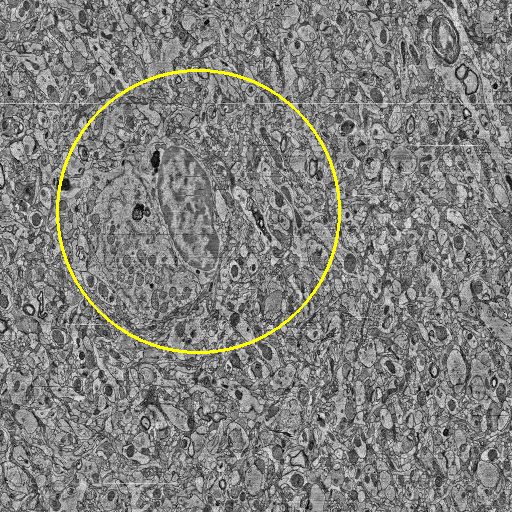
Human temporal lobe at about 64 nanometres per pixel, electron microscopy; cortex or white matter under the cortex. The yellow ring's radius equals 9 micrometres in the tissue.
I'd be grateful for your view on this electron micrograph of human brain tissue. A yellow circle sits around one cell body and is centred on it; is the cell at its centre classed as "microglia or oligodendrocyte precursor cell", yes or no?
yes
